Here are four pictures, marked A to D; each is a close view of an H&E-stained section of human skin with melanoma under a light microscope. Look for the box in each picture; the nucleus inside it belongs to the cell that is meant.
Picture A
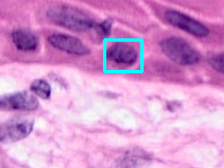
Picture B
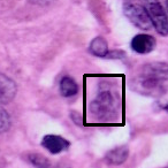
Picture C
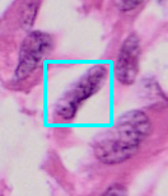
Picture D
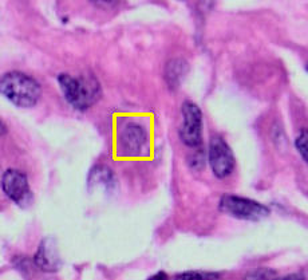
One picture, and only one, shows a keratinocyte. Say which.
A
